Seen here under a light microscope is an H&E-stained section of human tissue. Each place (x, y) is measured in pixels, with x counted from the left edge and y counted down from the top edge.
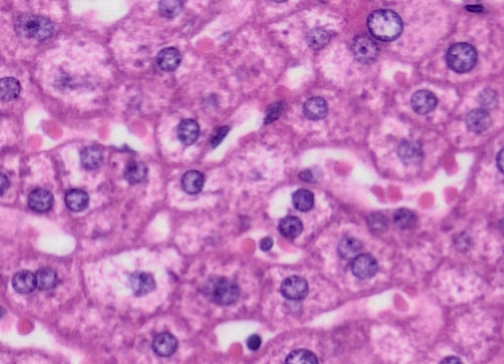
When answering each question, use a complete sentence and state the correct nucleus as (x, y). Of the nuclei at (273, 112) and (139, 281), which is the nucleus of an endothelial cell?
The nucleus at (273, 112) is part of an endothelial cell, while the other is not.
